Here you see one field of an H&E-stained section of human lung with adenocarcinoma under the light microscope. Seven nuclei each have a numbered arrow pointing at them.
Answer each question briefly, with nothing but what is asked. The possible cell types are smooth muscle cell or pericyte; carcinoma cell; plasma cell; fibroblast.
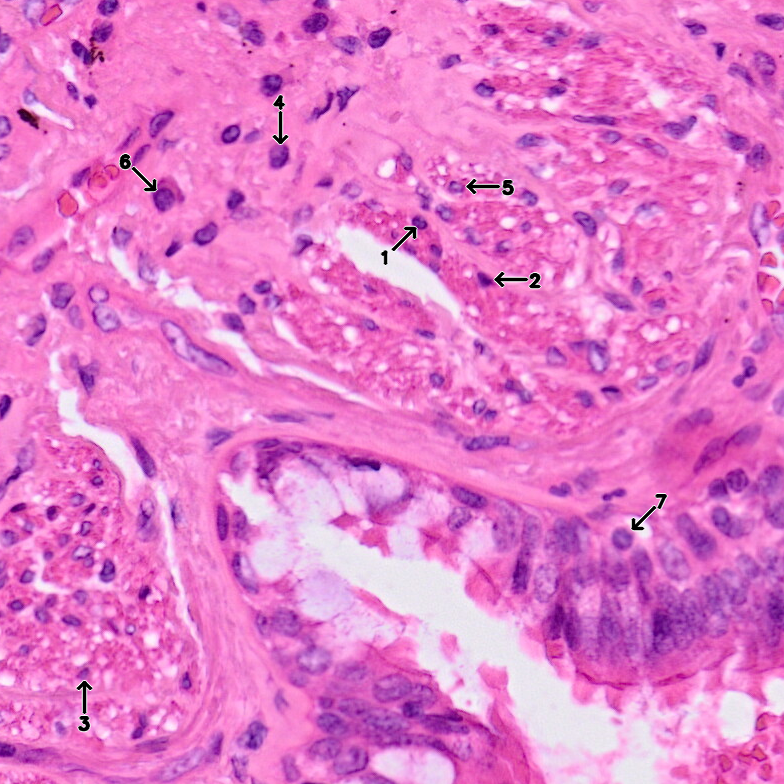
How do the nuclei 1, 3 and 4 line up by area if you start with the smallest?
3, 1, 4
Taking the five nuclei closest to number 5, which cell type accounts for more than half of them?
smooth muscle cell or pericyte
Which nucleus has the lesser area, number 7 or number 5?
5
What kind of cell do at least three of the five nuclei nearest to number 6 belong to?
fibroblast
